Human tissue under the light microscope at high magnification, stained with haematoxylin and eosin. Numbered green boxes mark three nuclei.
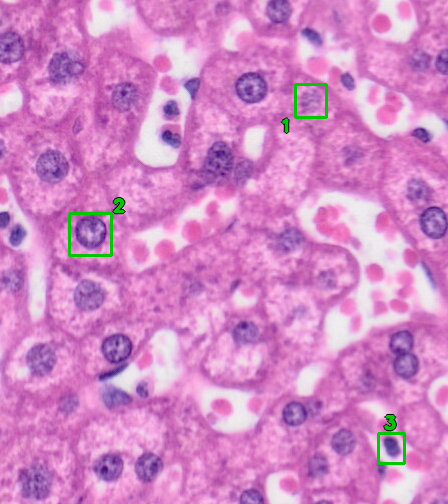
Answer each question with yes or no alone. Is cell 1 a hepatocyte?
yes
